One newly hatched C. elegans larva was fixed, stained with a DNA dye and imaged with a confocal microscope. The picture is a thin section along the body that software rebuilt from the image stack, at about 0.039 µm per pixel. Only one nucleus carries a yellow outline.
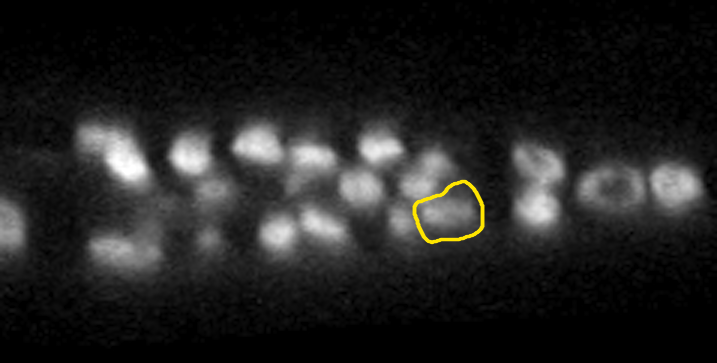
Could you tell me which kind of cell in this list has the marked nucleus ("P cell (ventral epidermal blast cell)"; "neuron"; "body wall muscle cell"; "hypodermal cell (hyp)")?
body wall muscle cell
